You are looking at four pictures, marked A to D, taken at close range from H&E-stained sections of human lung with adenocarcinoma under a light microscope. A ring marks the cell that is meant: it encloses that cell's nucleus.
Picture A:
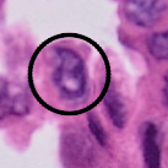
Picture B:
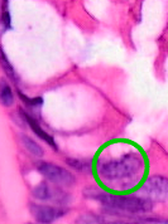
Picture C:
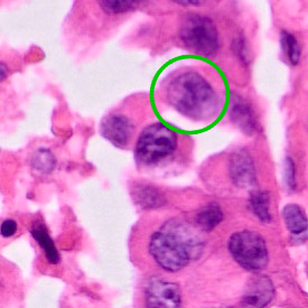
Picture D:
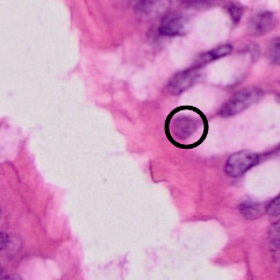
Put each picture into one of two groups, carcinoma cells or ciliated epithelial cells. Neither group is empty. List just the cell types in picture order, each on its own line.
carcinoma cell
ciliated epithelial cell
carcinoma cell
ciliated epithelial cell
